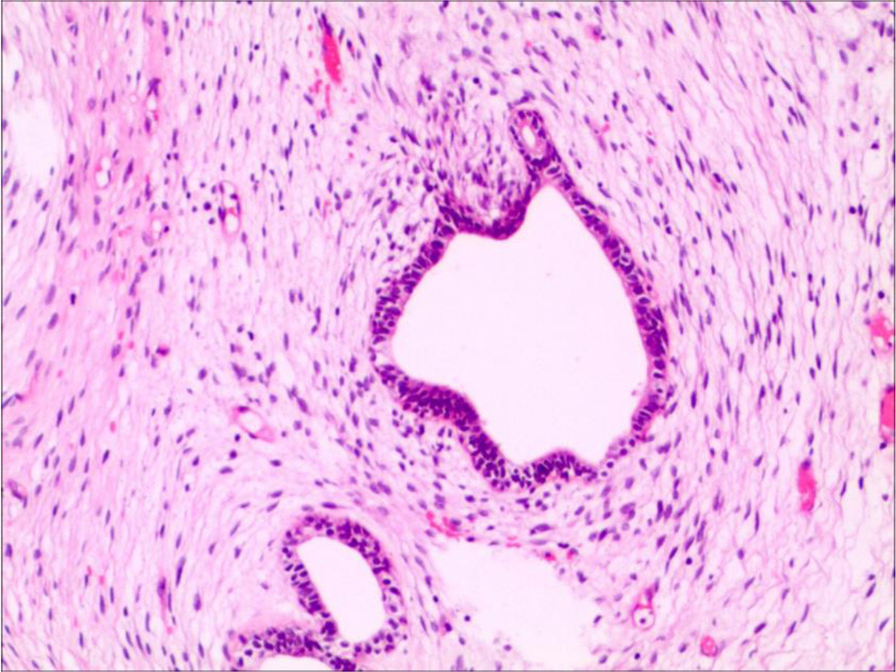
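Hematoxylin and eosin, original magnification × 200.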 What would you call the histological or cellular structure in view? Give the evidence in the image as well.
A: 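Irregular-shaped benign glandular elements. Two gland spaces with angular, irregular outlines are lined by a layer of darker purple epithelial cells. The gland lumens are empty and pale.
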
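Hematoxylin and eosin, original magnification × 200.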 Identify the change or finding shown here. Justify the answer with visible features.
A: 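Glands lined by epithelium lie within an abundant cellular stroma. Spindle-shaped stromal cells fill most of the field around the glands. The answer: epithelial-stromal tumor.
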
